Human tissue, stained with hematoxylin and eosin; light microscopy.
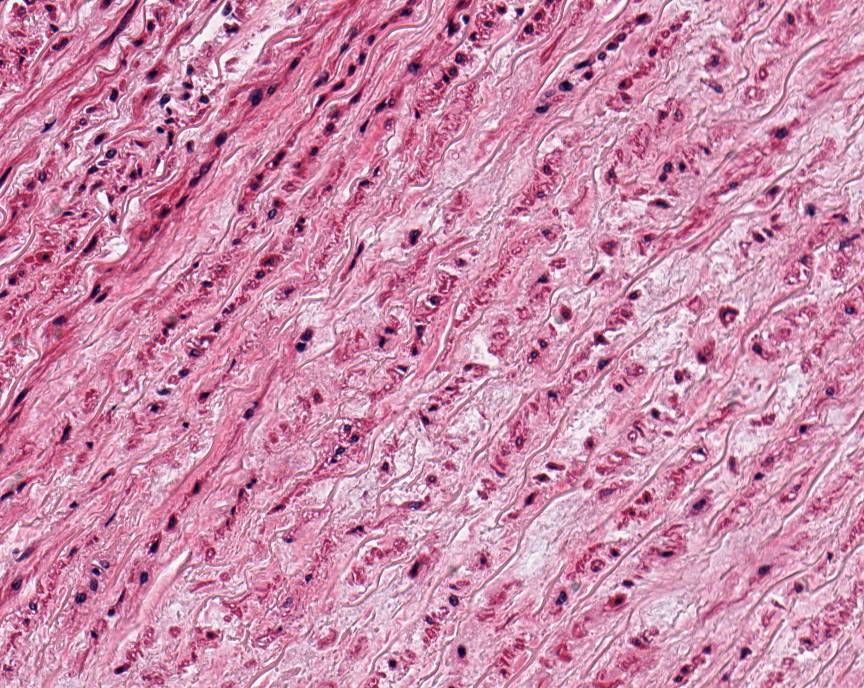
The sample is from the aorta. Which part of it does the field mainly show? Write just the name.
tunica media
